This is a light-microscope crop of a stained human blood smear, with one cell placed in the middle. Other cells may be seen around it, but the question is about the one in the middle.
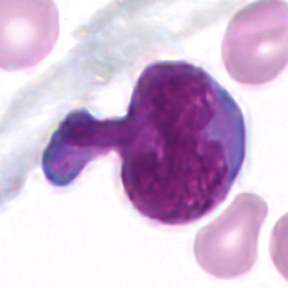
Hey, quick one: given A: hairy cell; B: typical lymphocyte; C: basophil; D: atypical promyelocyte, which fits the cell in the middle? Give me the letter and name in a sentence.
Correctly, option D names the cell in the middle an atypical promyelocyte.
